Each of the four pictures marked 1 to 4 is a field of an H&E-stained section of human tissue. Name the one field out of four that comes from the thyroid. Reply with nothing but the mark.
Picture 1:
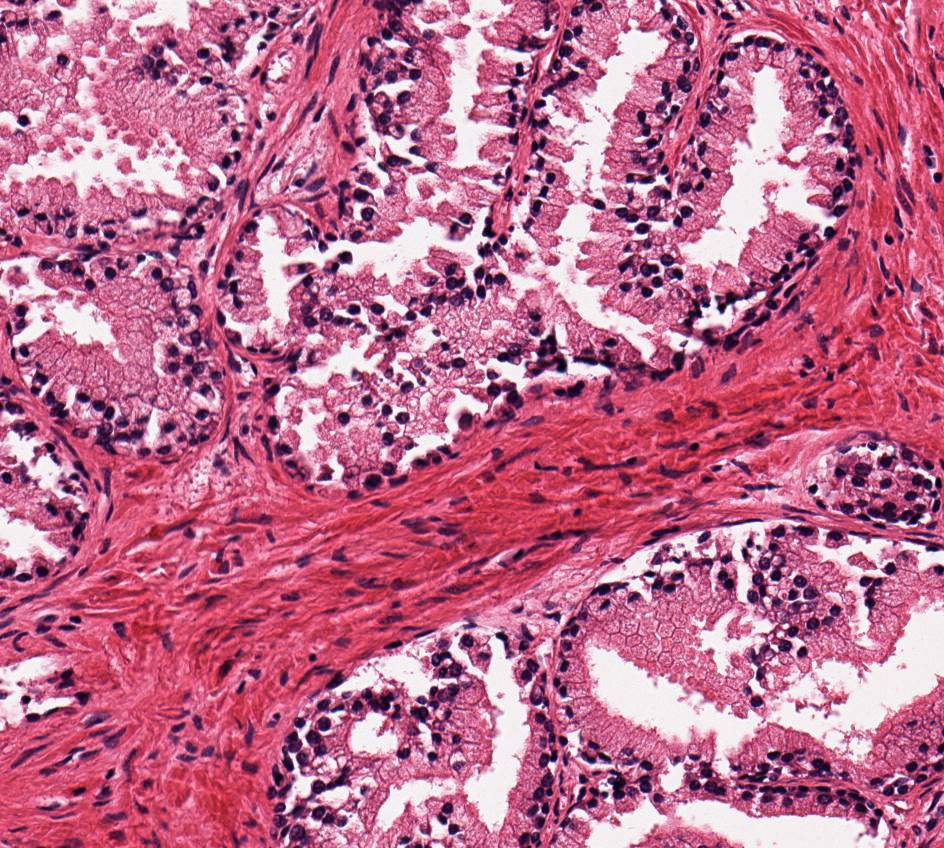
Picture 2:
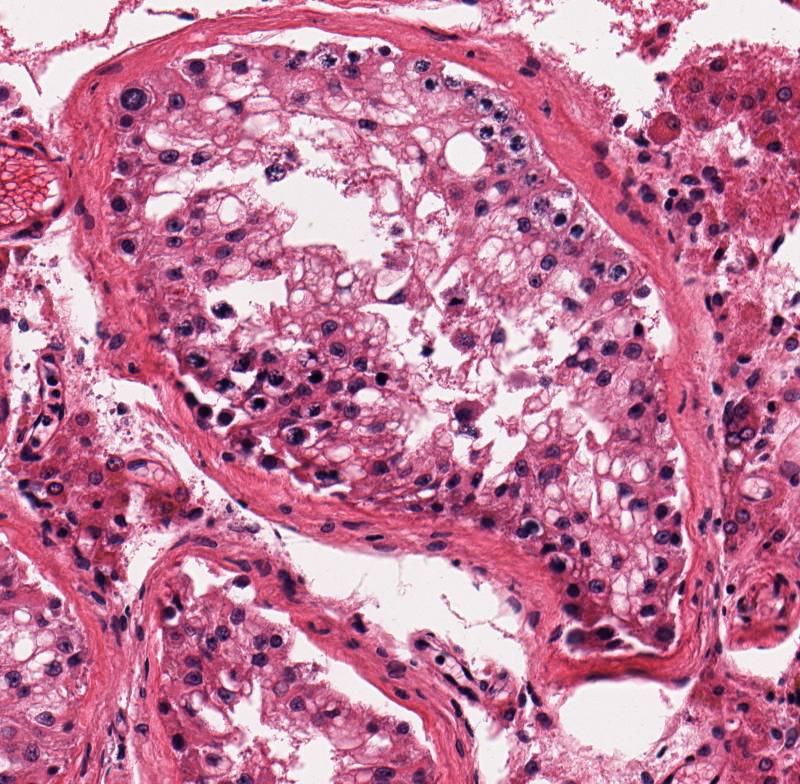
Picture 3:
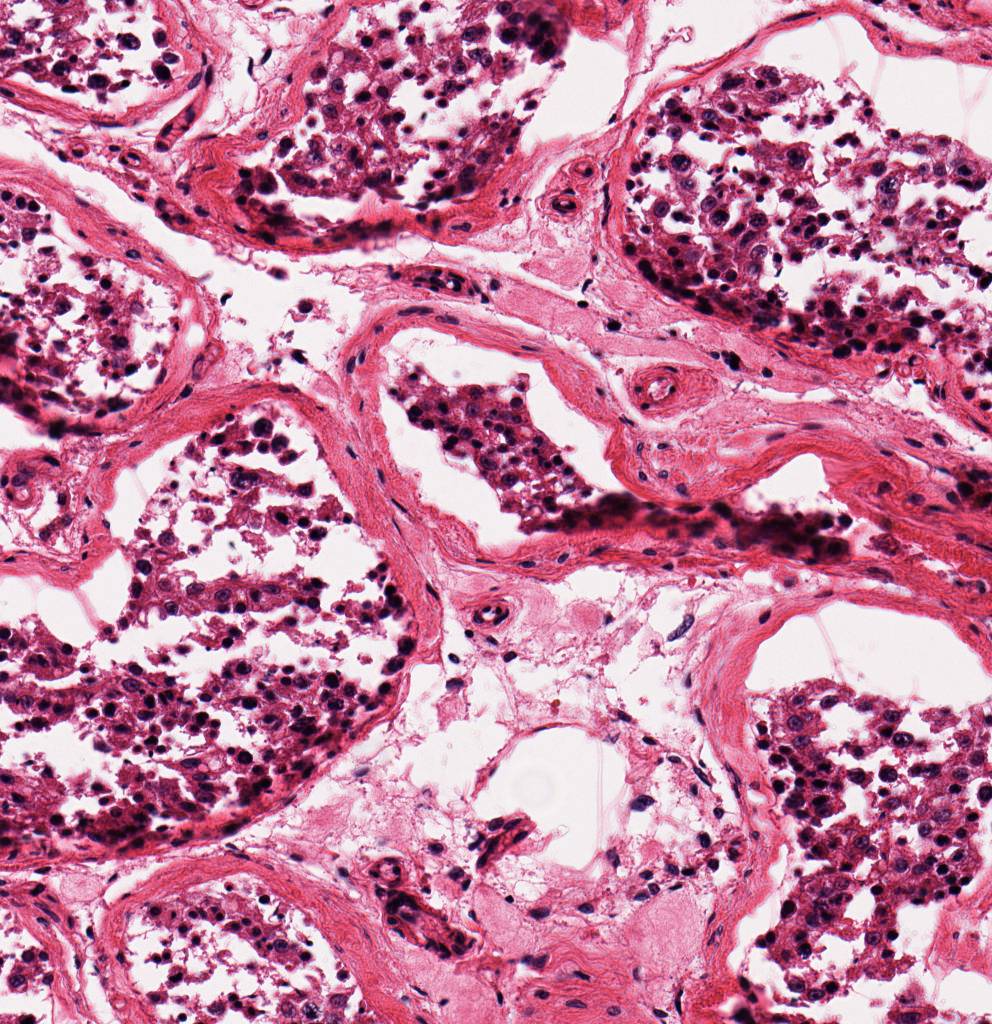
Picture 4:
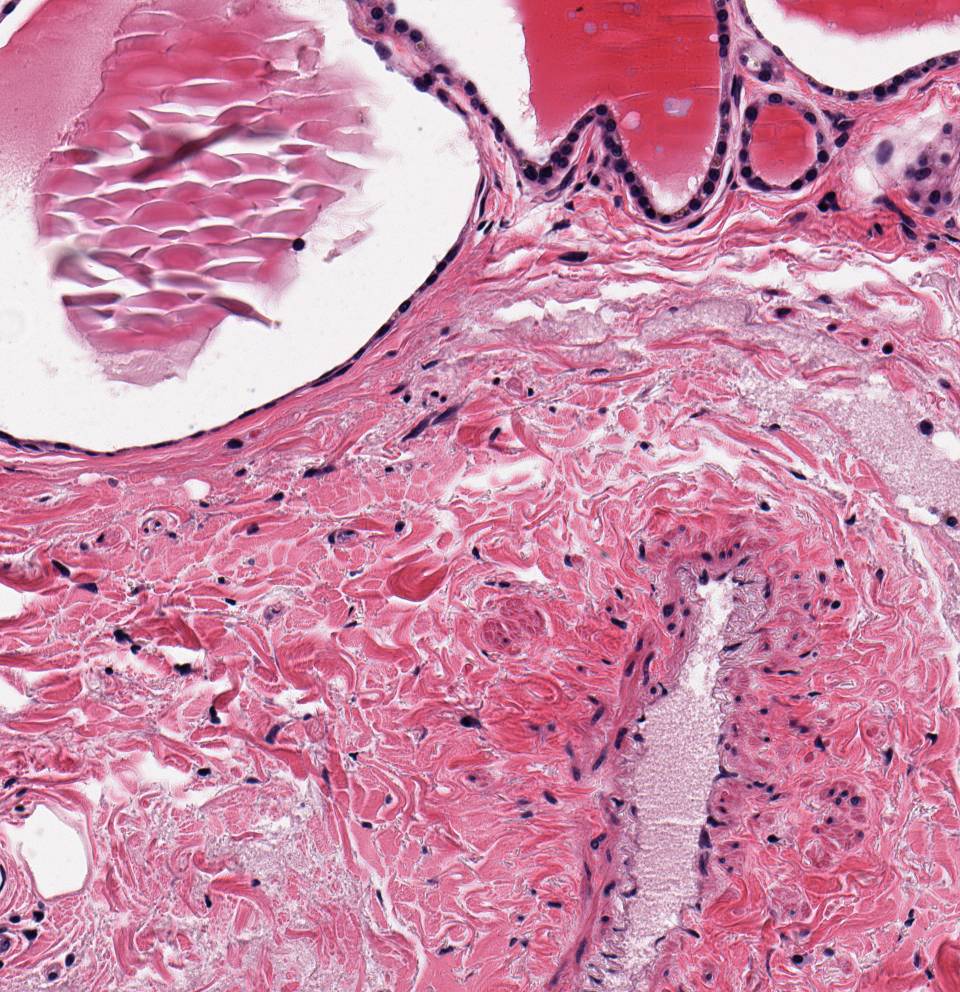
4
